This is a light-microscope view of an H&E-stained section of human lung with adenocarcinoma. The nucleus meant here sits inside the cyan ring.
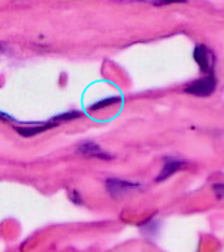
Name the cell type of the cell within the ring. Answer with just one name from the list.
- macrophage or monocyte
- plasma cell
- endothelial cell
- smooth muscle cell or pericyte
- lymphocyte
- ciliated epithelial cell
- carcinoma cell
endothelial cell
